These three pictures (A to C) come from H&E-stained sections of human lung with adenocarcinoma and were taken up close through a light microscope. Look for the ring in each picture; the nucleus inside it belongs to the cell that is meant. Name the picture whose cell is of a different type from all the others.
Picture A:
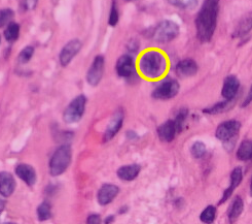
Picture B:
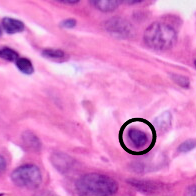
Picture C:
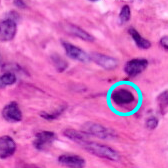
A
